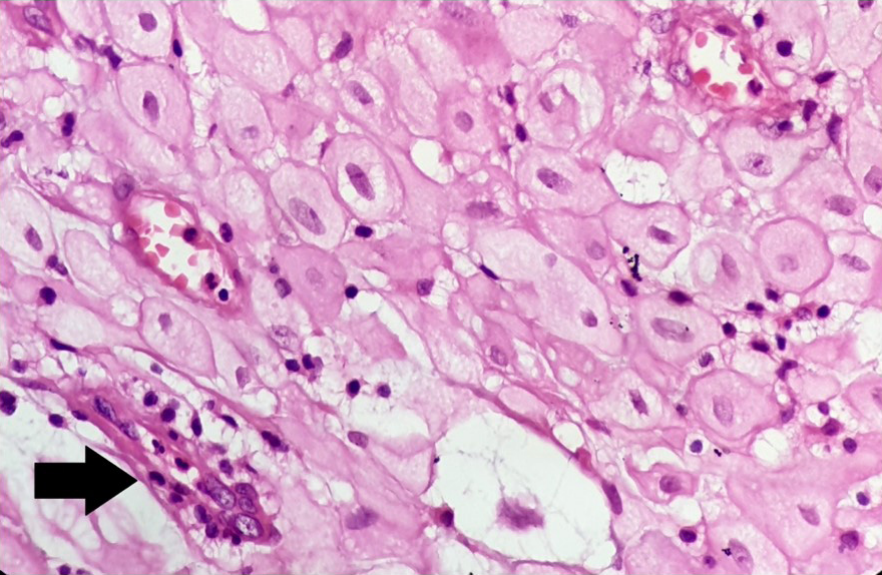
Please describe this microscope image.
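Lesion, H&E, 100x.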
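This high-power view is filled with decidual cells, large round to polygonal cells with plentiful pale pink, finely granular cytoplasm, crisp cell borders and a single central oval nucleus with fine chromatin. Between them run small blood vessels holding red blood cells, and scattered small dark round nuclei of lymphocyte-like cells lie in the spaces, with some pale, vacuolated areas.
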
